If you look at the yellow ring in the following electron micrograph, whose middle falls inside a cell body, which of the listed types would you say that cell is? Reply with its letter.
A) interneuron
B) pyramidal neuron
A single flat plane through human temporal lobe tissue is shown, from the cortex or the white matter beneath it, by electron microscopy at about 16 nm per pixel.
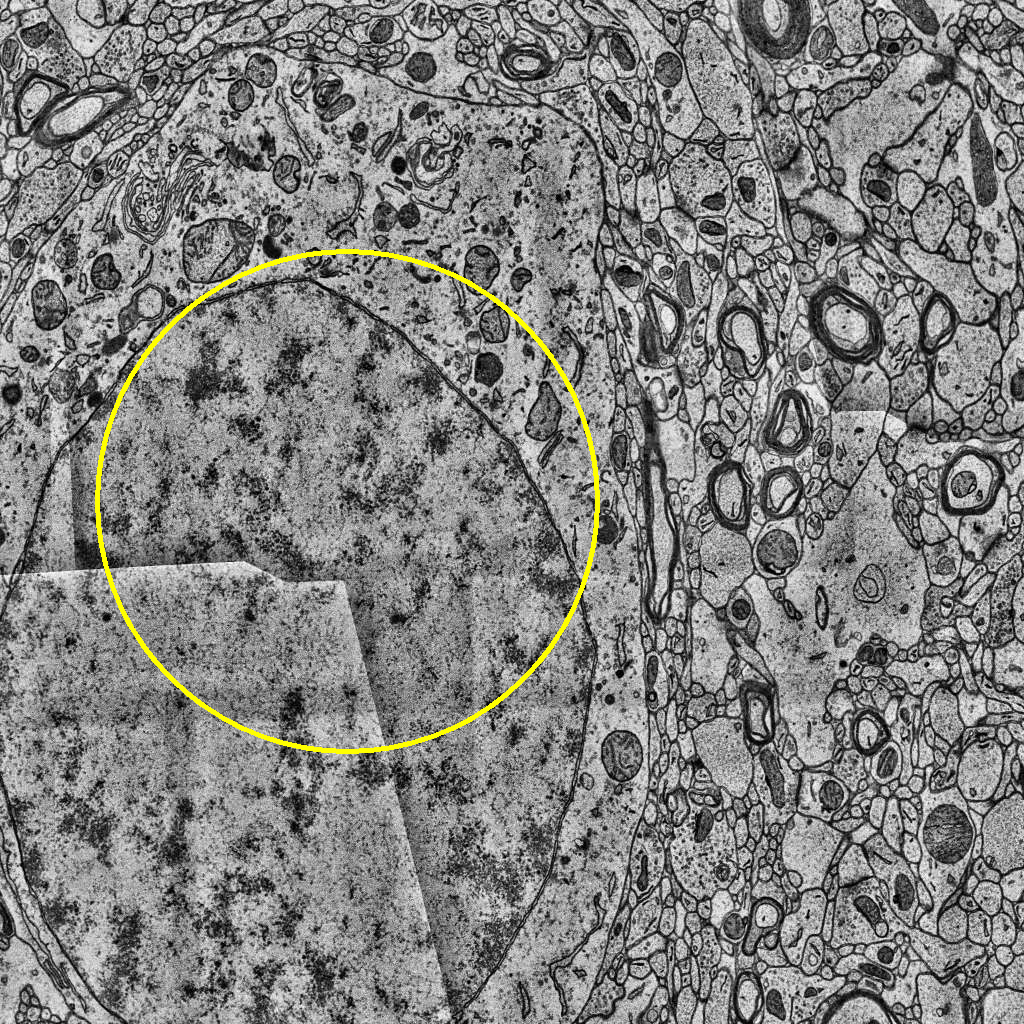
B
